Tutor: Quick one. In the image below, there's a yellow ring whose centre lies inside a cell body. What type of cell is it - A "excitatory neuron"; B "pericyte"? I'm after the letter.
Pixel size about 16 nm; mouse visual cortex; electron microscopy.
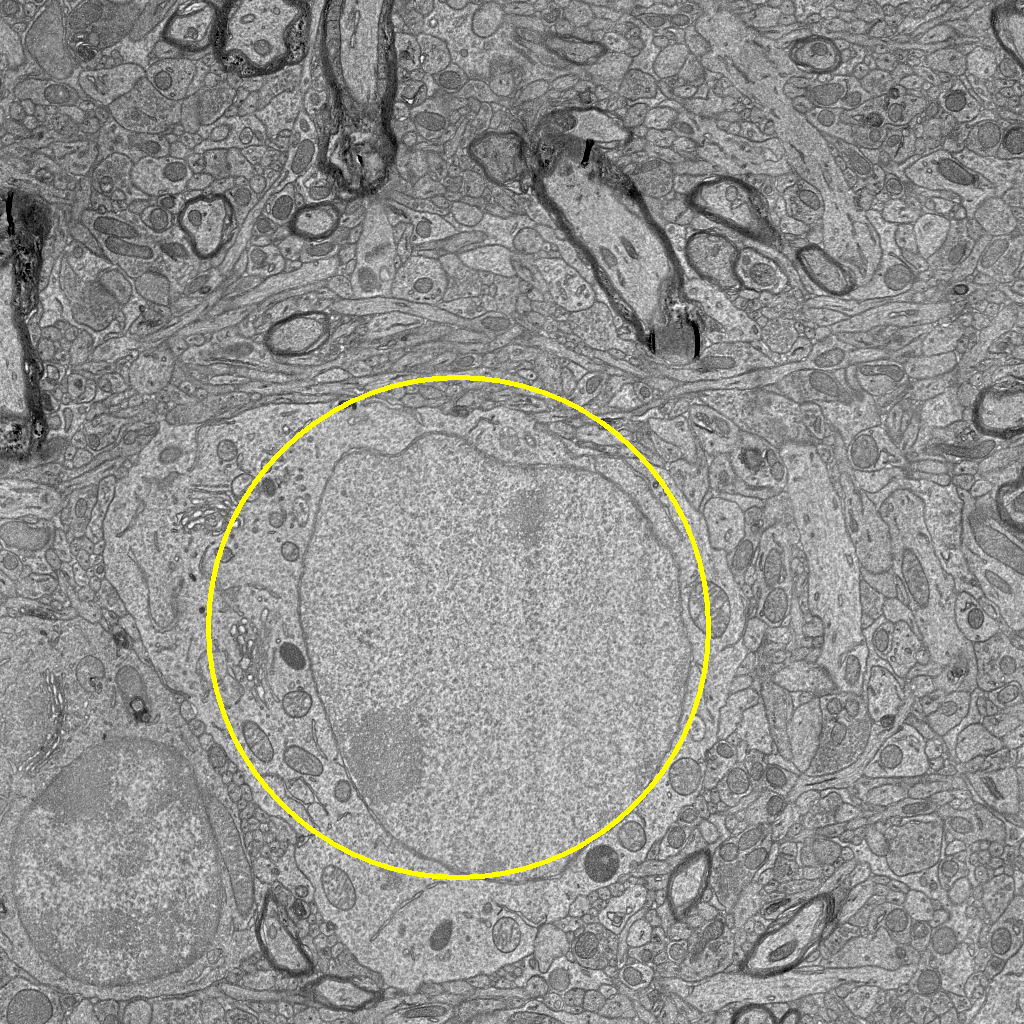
A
